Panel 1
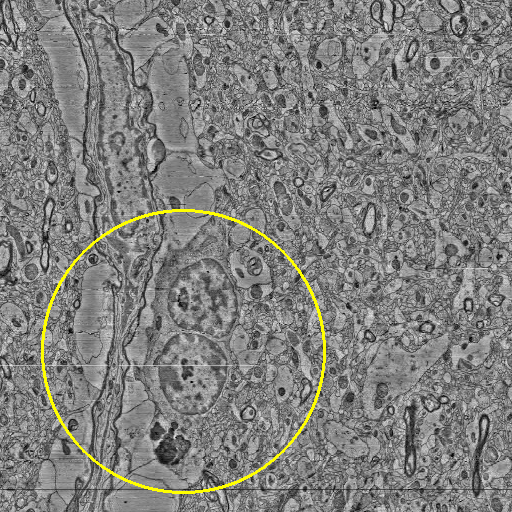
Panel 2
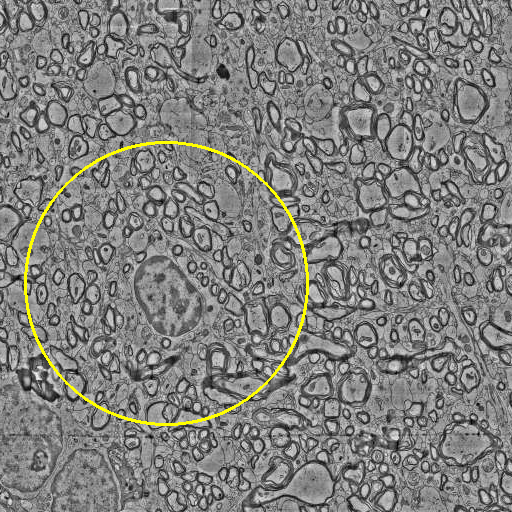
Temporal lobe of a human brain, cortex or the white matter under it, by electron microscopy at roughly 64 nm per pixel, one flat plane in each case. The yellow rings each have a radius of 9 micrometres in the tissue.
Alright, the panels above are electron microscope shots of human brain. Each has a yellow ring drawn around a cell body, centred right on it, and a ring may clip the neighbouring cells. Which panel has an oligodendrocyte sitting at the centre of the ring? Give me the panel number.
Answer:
1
